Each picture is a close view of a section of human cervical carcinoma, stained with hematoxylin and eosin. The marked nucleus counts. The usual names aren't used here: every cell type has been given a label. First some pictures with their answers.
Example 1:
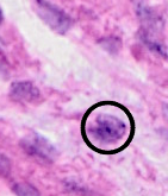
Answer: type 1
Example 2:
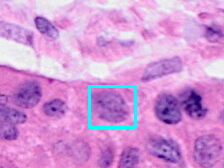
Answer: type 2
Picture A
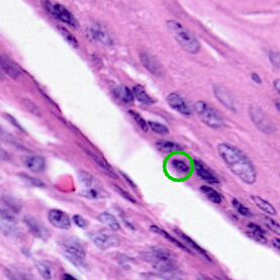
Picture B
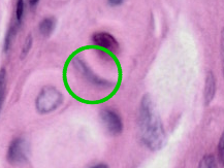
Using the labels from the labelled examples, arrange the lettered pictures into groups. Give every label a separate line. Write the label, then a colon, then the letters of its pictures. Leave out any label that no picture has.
type 2: A, B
